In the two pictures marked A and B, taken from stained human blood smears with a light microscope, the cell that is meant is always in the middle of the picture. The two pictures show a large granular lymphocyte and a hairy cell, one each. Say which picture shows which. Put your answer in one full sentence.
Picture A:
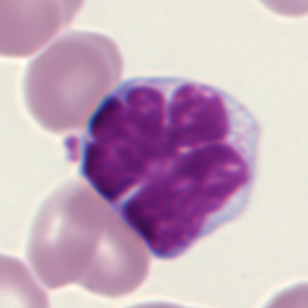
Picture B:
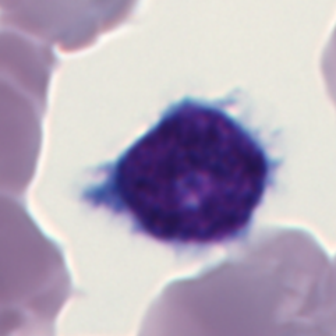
Picture A shows a large granular lymphocyte and picture B shows a hairy cell.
